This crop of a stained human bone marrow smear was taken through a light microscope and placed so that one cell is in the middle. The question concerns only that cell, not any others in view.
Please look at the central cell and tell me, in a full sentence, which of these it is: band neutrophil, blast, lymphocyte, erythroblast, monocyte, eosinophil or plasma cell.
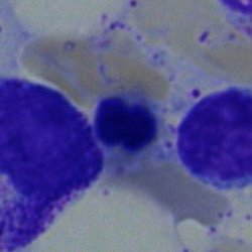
The cell at the middle of the crop is recognized as an erythroblast.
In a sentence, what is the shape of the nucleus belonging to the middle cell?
Two or more lobes make up the nucleus of this cell.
